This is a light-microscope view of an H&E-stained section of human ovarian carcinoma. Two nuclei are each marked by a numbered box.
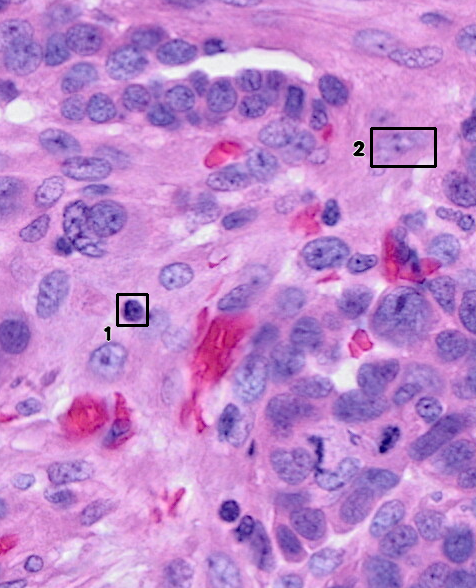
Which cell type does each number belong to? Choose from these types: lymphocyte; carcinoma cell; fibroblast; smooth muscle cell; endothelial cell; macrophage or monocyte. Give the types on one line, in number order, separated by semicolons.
lymphocyte; fibroblast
